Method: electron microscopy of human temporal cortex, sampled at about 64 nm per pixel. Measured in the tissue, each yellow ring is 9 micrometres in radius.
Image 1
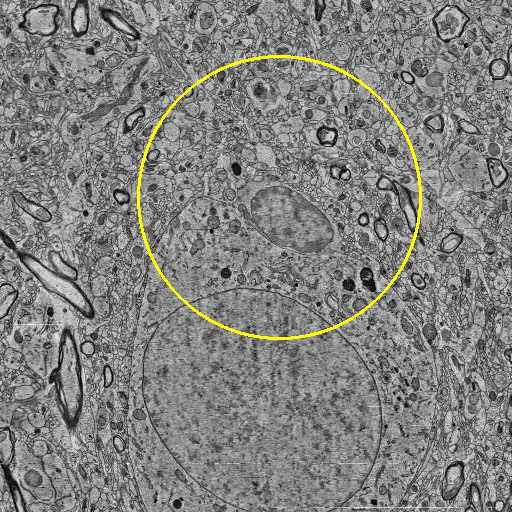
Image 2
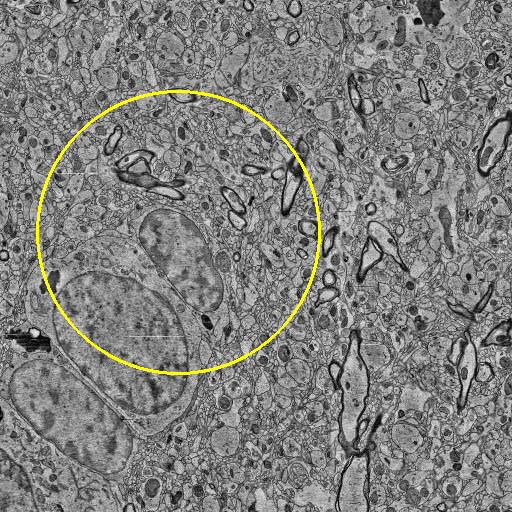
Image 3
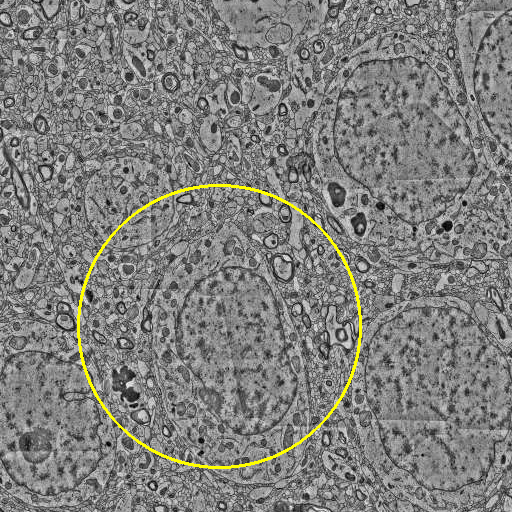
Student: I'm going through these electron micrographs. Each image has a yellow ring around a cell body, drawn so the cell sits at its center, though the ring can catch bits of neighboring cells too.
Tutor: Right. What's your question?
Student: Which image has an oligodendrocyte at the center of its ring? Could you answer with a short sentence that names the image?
Image 1 shows it at the center of its ring.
